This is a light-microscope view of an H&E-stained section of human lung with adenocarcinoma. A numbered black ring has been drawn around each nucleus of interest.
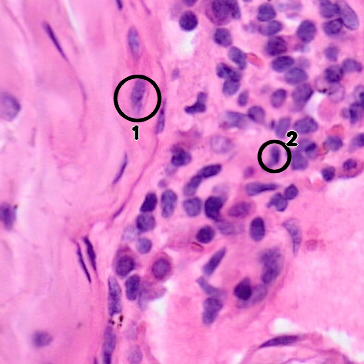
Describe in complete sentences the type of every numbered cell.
Cell 1 is a smooth muscle cell or pericyte. Cell 2 is a lymphocyte.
